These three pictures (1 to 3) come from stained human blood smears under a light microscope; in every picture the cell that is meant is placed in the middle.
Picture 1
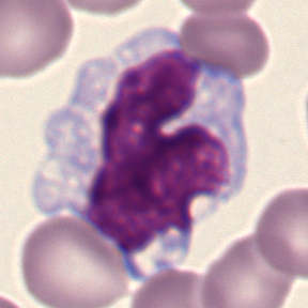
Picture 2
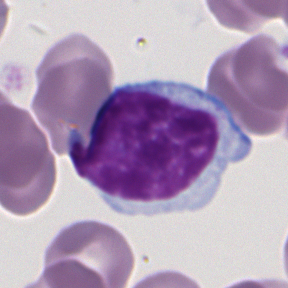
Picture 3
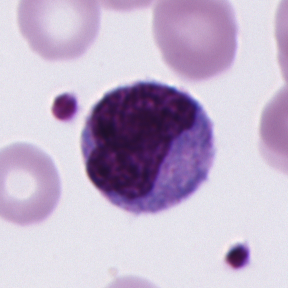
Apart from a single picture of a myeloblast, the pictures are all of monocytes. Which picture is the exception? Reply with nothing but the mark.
2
